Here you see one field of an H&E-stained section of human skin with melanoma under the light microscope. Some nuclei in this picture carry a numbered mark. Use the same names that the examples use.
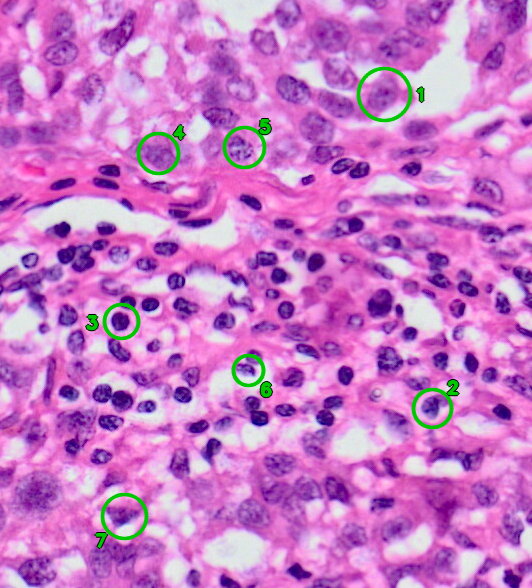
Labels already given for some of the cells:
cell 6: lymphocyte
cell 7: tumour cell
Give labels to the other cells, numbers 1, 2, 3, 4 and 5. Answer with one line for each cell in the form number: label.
1: tumour cell
2: lymphocyte
3: lymphocyte
4: tumour cell
5: tumour cell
